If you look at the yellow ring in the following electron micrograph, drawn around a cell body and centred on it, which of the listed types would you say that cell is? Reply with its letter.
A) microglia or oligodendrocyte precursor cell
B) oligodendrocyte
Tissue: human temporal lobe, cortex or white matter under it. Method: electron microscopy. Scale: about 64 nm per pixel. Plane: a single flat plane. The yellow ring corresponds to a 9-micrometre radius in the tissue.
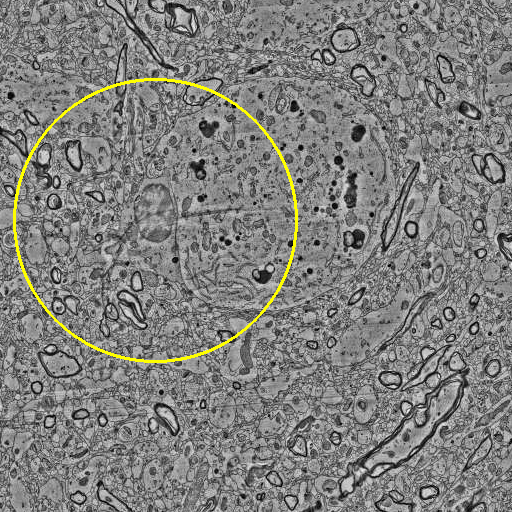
B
